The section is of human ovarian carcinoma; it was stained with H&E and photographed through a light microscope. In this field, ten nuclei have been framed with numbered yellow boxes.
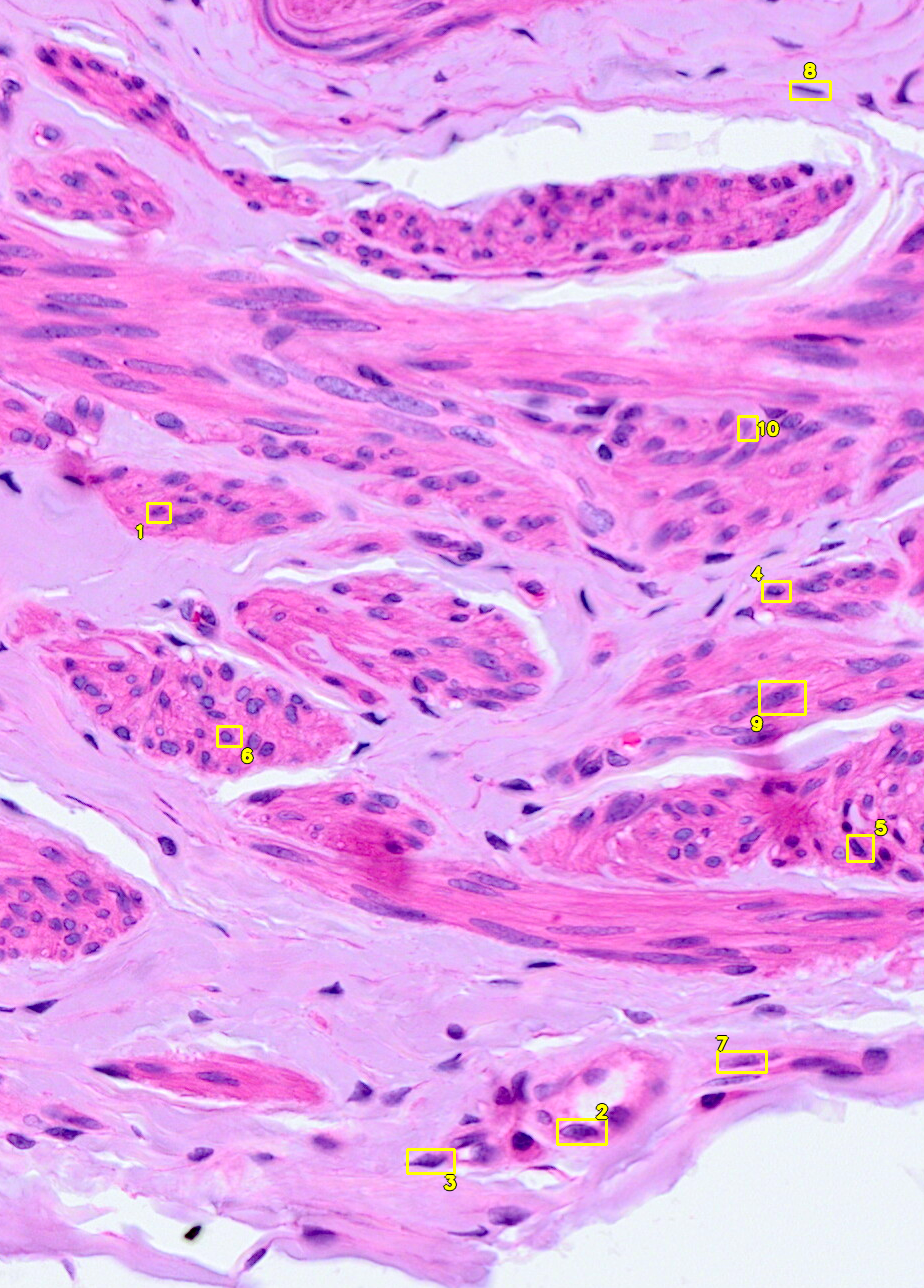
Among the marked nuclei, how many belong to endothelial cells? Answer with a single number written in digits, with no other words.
2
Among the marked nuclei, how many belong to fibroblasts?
2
